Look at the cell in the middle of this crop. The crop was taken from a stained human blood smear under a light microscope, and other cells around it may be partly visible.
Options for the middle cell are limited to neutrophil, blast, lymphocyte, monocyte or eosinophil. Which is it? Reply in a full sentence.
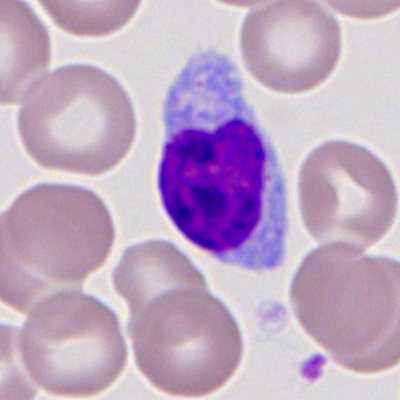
The cell centred in this crop is categorized as a lymphocyte.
